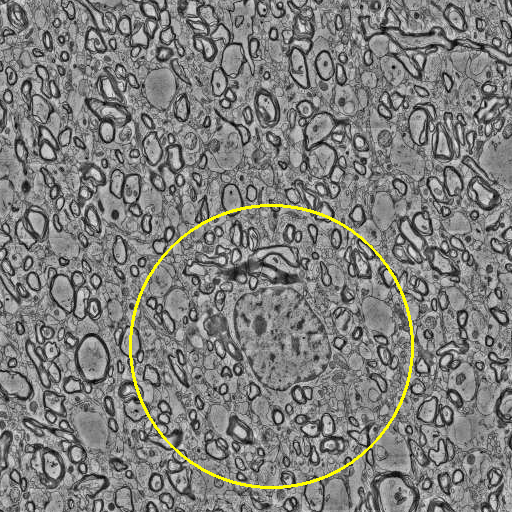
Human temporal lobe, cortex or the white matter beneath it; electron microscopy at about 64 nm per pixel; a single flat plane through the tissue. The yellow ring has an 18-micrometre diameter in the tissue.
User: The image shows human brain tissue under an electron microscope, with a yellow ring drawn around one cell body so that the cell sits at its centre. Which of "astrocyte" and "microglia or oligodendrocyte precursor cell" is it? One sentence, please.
At the centre of the ring sits a microglial cell or oligodendrocyte precursor cell.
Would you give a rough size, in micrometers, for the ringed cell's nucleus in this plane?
Roughly 7 by 6 micrometres is the size of the nucleus in this plane.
